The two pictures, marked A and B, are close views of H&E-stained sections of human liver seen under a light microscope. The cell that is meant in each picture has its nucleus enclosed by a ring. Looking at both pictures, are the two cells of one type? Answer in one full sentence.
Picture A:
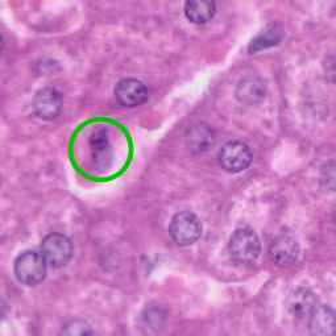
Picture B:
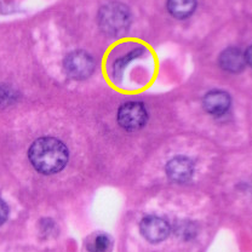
No, picture A shows a Kupffer cell and picture B shows an endothelial cell.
